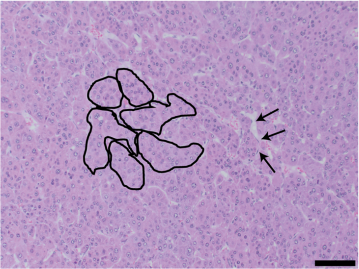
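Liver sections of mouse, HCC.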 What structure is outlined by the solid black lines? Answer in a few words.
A: Nested islands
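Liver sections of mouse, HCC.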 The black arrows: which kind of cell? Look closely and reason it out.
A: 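These lie at the edge of a cell cluster. That points to this answer: flattened endothelial cells.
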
